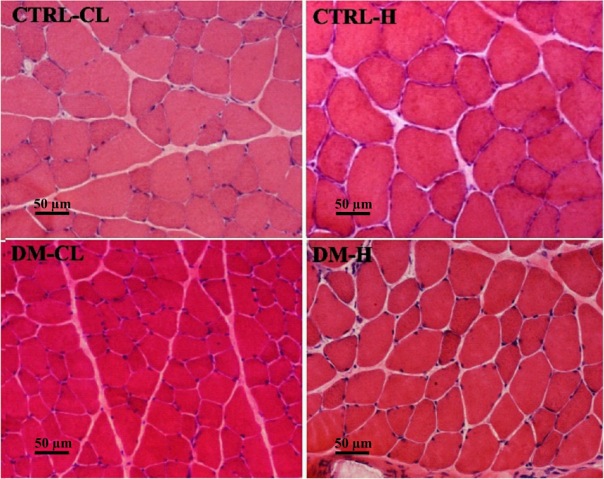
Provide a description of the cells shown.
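These are four fields of skeletal muscle cut across, so each muscle fiber appears as a closed, polygonal profile filled with evenly pink-stained cytoplasm. The fibers lie packed tightly side by side, with their flat faces pressed against their neighbours. Small, dark purple nuclei sit at the rim of each fiber, just under its surface, not in its centre. Between fibers runs a thin, pale layer of connective tissue, and wider pale bands mark off groups of fibers. Comparing the four fields, fiber size differs clearly: in one field the profiles are small and crowded, in another they are large and rounded.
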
